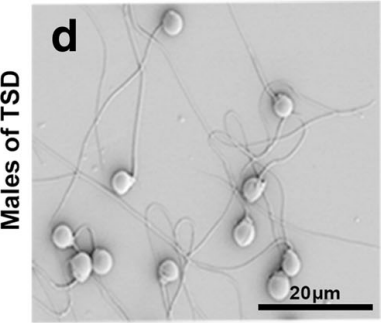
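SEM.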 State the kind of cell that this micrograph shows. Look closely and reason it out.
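Rounded heads with one long slender tail each. Tails far longer than the heads.
Answer: sperm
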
